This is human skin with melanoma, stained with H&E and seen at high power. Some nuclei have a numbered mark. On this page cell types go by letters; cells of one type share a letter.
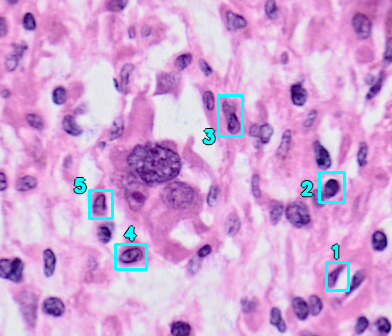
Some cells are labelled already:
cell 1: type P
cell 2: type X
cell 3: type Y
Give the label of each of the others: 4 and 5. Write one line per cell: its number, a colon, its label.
4: type Y
5: type Y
